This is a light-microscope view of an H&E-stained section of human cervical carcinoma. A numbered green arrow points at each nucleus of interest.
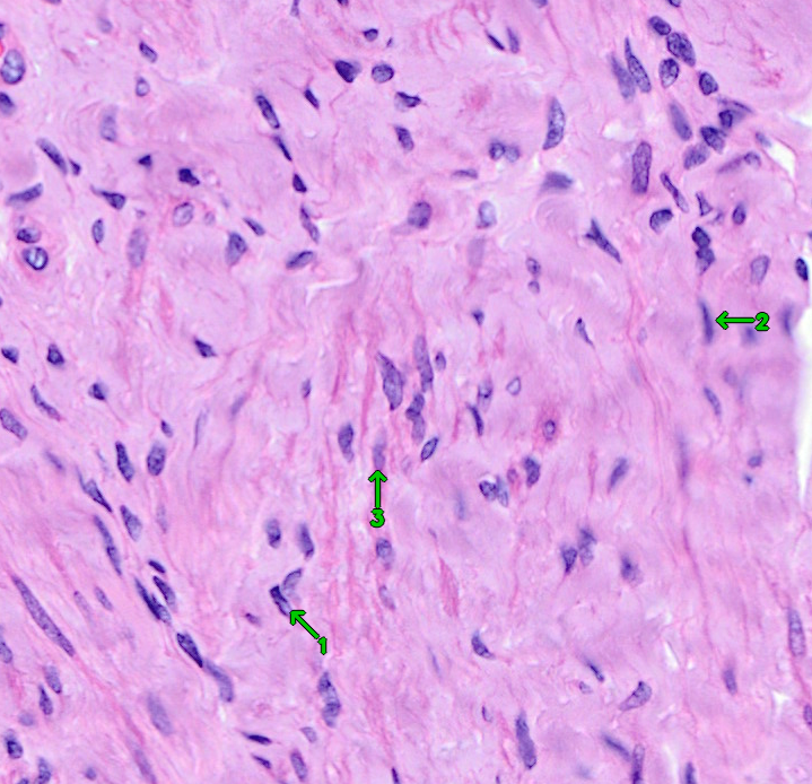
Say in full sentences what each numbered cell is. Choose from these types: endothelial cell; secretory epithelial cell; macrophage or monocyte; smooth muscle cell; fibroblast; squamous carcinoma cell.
Cells 1 and 2 are fibroblasts. Cell 3 is a smooth muscle cell.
